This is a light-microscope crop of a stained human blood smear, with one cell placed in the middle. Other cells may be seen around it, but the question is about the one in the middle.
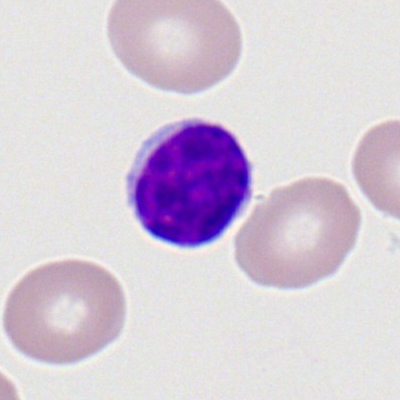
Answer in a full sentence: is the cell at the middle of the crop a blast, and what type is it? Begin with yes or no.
No, the cell in the middle of the crop counts as a lymphocyte and not as a blast.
